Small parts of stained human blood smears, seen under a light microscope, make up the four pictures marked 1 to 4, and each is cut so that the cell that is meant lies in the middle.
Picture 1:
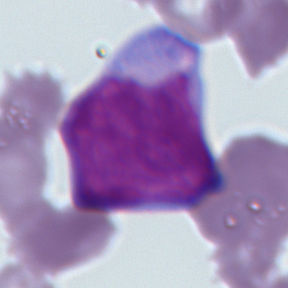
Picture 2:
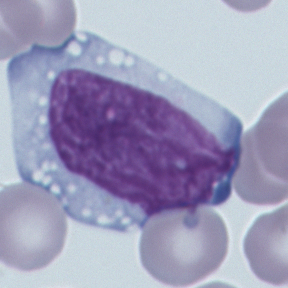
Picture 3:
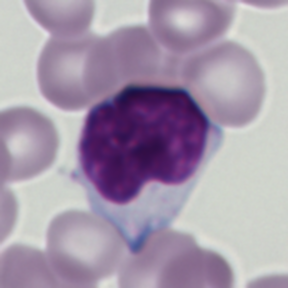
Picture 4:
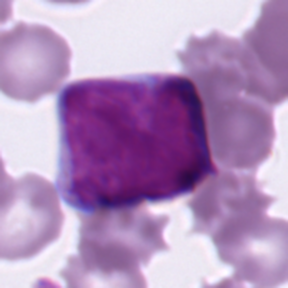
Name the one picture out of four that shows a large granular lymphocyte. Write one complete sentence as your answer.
Picture 3 shows the large granular lymphocyte.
